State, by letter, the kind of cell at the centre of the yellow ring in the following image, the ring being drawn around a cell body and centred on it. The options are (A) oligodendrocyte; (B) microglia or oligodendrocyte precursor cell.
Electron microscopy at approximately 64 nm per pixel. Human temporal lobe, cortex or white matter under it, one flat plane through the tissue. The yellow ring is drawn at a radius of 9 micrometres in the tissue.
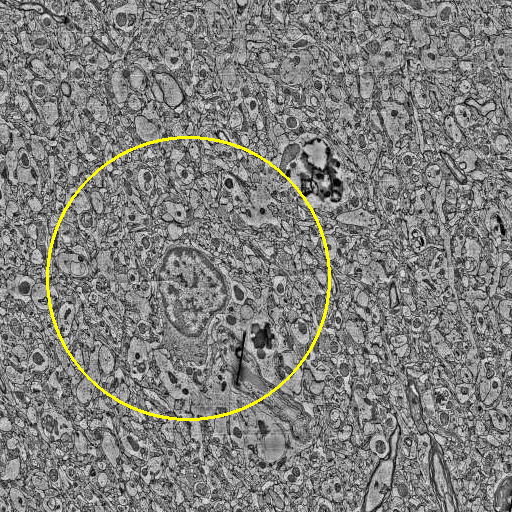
A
